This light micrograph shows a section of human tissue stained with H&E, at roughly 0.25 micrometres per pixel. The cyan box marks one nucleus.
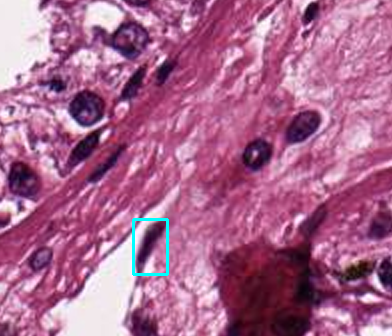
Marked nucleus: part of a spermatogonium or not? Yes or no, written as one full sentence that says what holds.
No, the cell whose nucleus is marked is a supporting cell and not a spermatogonium.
